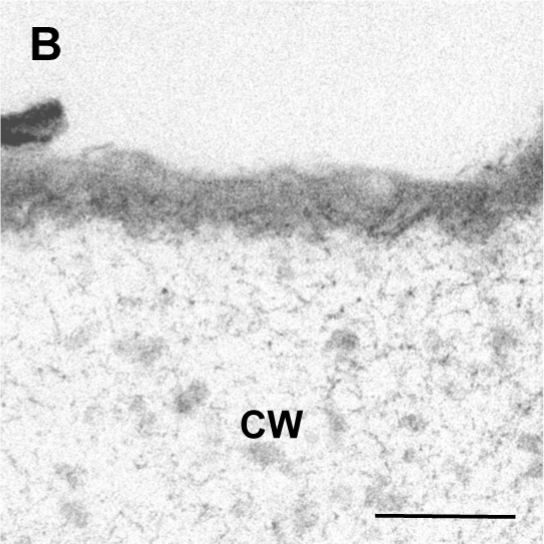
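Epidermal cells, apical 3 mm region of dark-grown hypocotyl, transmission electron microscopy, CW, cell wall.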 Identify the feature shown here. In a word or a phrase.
Cuticle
